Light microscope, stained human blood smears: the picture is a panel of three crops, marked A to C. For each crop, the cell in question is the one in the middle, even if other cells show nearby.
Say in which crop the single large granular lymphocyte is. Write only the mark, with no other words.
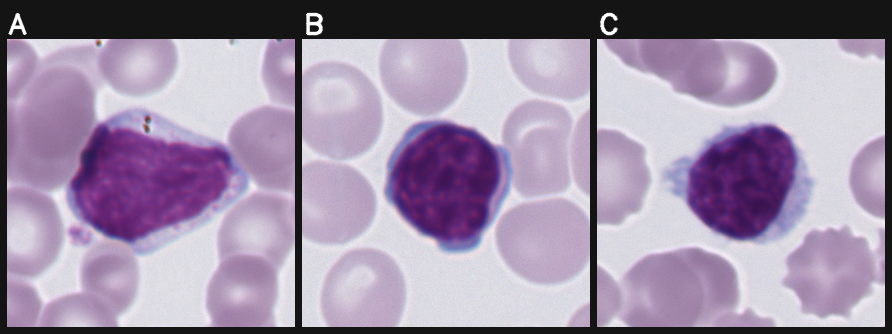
A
